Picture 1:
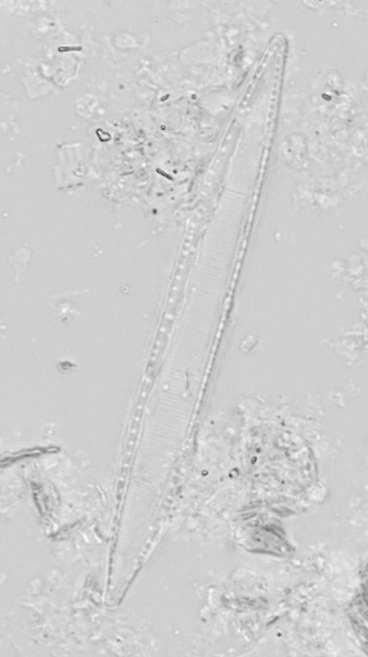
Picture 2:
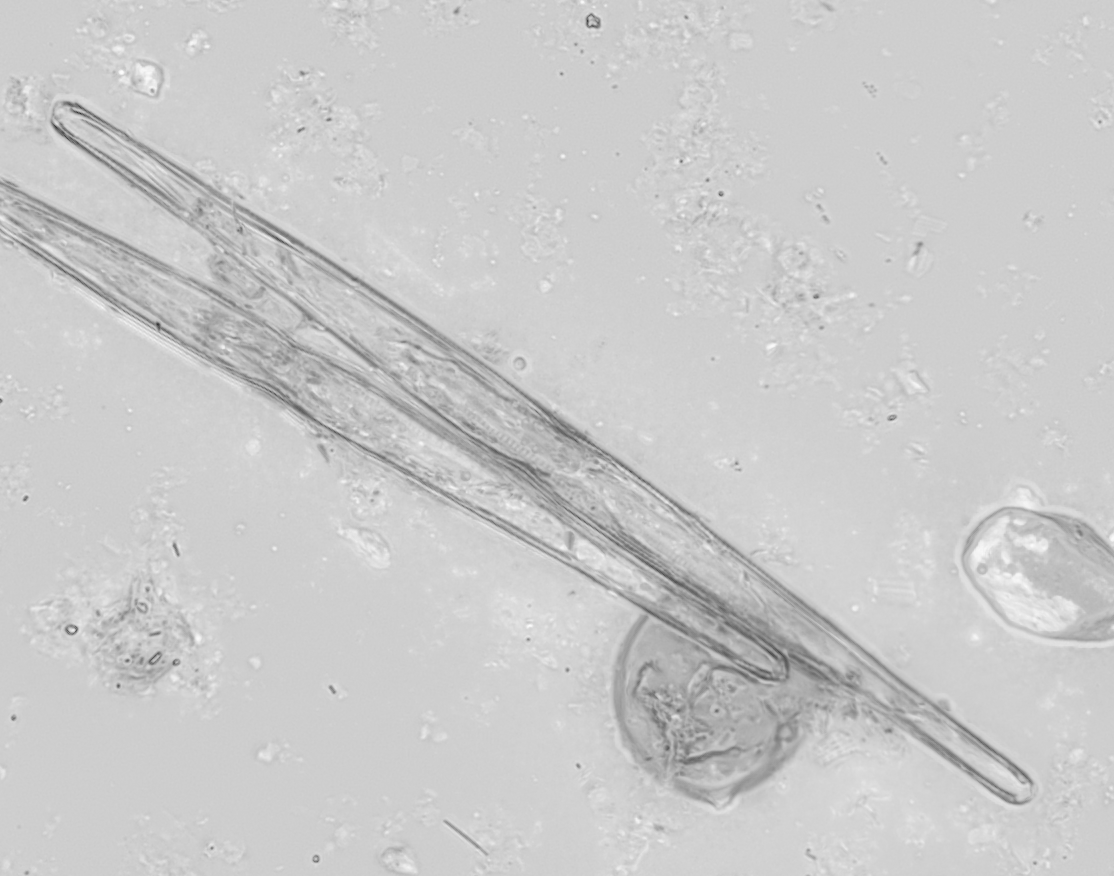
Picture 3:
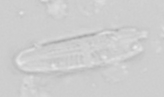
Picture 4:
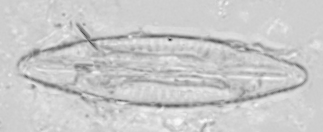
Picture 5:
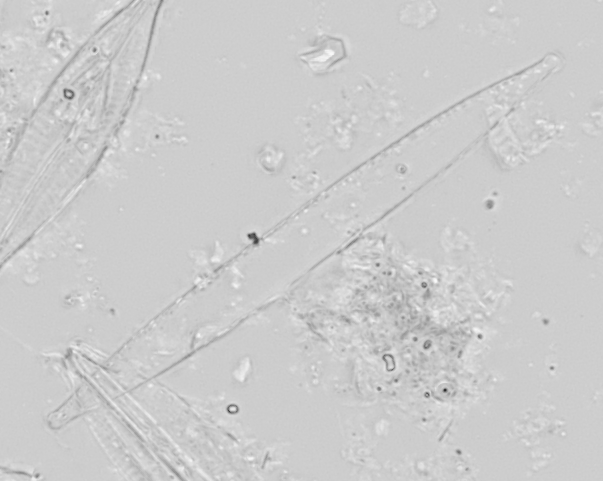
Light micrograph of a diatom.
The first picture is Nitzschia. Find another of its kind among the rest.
Picture 5.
